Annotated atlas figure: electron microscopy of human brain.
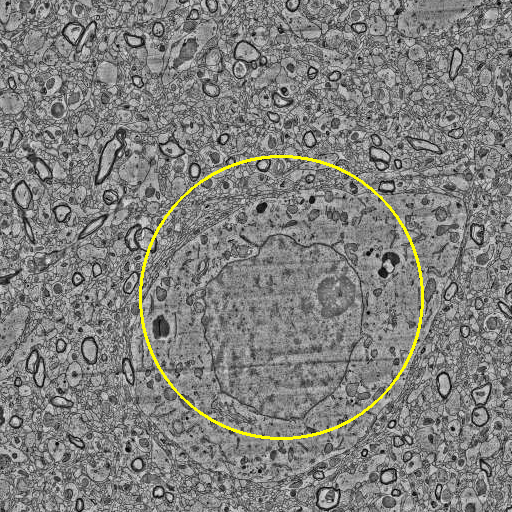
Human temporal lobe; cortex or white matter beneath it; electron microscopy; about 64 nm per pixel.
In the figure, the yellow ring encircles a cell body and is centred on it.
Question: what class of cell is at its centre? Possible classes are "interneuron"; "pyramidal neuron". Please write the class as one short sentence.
The yellow ring is drawn around a pyramidal neuron.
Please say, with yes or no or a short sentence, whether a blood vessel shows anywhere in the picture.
No, none shows.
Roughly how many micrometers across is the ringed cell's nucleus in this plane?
The nucleus comes to roughly 11 micrometres across in this plane.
